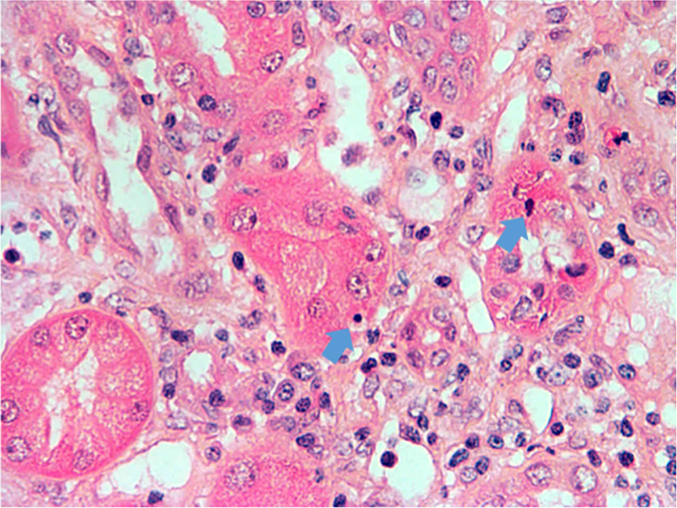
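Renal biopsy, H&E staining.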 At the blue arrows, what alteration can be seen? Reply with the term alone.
Lymphocytic tubulitis.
